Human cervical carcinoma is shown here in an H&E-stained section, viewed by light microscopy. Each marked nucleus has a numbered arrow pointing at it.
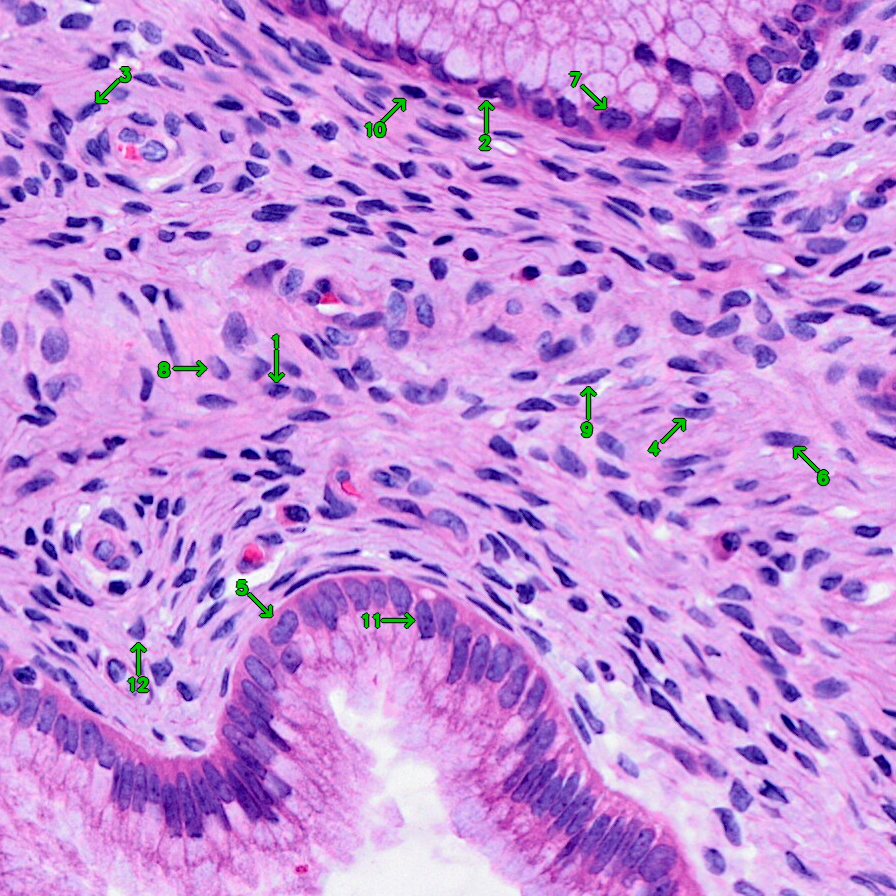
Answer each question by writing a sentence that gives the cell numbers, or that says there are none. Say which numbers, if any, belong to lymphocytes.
Just one of the numbered cells is a lymphocyte, namely number 10.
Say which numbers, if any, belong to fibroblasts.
The cells marked with the numbers 1, 3, 4, 6, 8, 9 and 12 are fibroblasts.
